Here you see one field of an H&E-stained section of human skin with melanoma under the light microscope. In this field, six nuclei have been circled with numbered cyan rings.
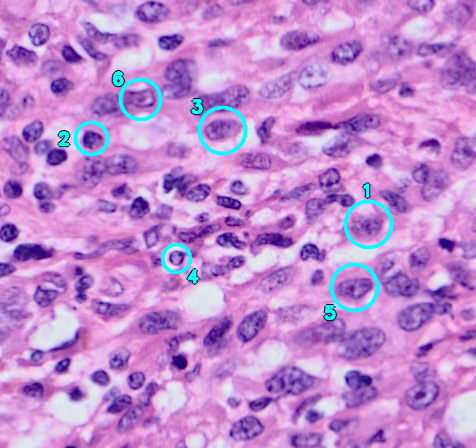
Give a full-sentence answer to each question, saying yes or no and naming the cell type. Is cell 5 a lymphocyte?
No, the cell labelled 5 is a melanoma cell and not a lymphocyte.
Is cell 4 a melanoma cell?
No, number 4 belongs to a lymphocyte, not to a melanoma cell.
